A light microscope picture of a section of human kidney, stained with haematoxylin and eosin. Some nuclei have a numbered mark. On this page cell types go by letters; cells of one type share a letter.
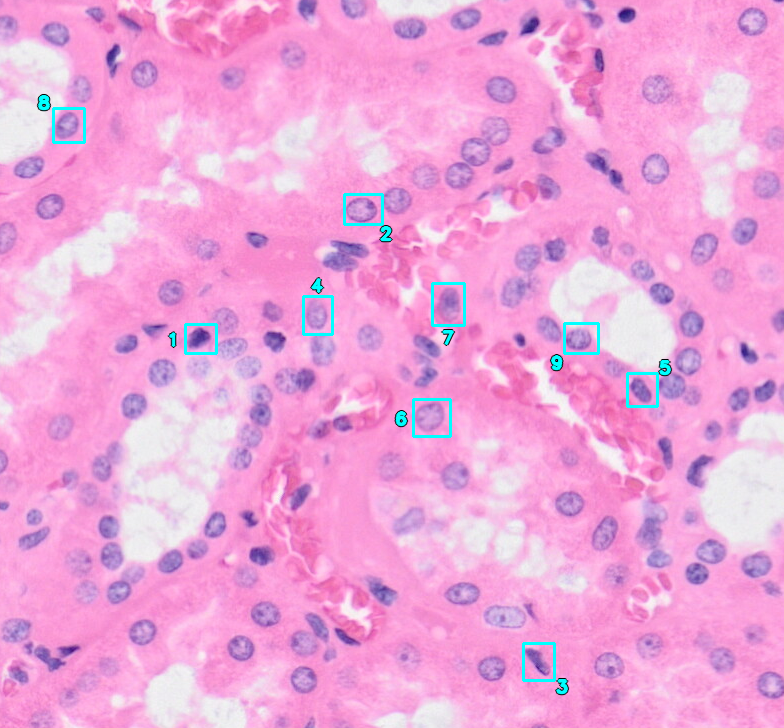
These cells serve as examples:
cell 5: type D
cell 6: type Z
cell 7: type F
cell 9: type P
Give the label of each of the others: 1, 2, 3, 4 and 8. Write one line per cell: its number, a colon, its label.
1: type P
2: type Z
3: type F
4: type D
8: type P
